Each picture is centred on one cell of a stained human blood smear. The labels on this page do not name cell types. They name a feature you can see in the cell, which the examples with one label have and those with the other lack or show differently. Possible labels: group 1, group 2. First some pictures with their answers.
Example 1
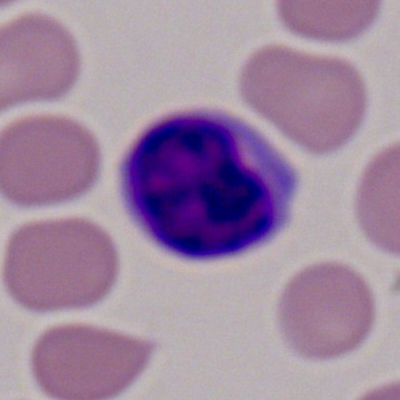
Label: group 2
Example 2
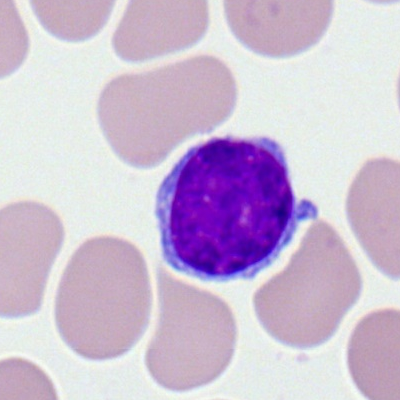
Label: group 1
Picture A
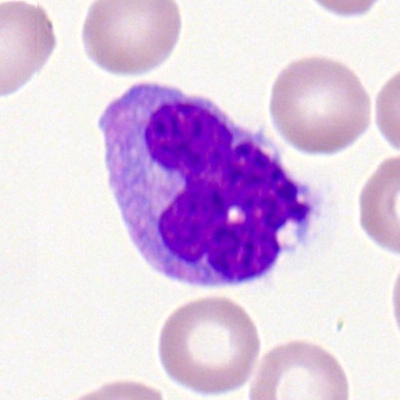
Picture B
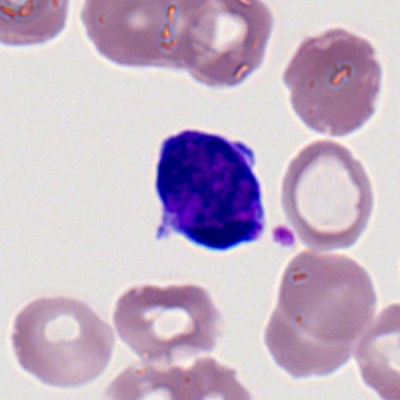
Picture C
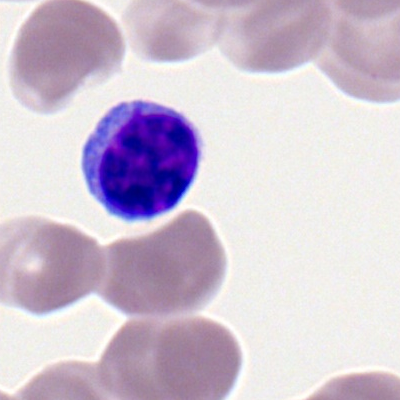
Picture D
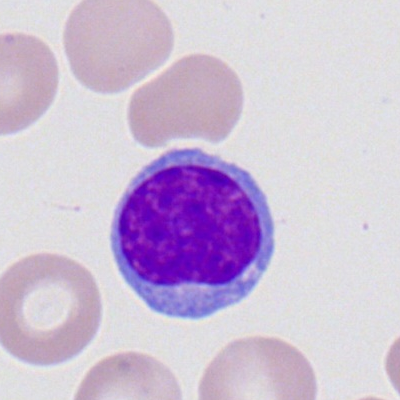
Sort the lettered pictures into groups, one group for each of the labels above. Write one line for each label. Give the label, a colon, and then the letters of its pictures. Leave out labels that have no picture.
group 1: A, B
group 2: C, D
